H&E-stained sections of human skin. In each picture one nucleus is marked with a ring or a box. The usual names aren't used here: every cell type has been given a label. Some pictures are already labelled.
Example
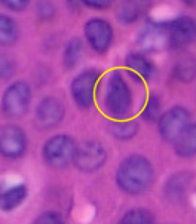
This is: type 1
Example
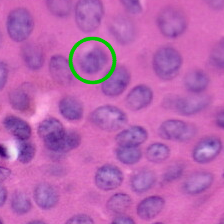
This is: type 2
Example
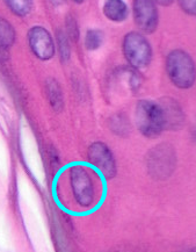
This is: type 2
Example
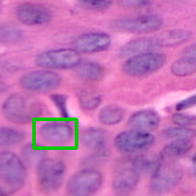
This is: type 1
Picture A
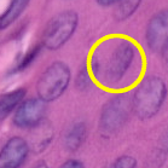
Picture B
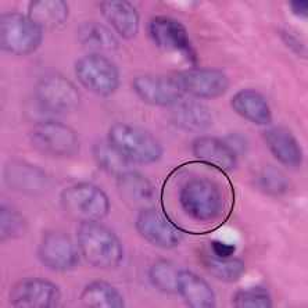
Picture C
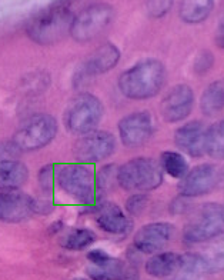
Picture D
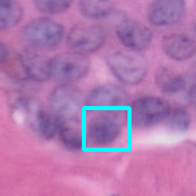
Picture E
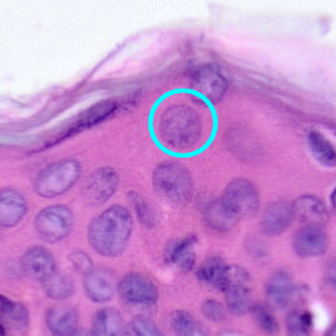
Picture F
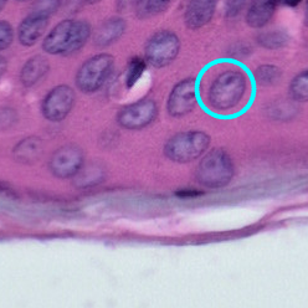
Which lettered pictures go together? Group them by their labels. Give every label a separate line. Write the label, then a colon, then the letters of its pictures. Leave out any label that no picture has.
type 1: B, C, D
type 2: A, E, F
